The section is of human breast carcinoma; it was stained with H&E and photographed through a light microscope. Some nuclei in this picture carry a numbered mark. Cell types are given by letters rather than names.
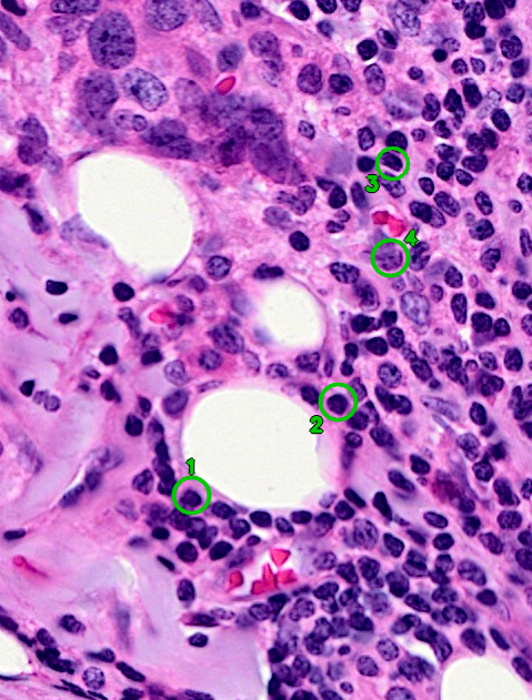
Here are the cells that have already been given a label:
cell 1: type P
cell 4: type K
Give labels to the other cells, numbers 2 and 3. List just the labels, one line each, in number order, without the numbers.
type P
type P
